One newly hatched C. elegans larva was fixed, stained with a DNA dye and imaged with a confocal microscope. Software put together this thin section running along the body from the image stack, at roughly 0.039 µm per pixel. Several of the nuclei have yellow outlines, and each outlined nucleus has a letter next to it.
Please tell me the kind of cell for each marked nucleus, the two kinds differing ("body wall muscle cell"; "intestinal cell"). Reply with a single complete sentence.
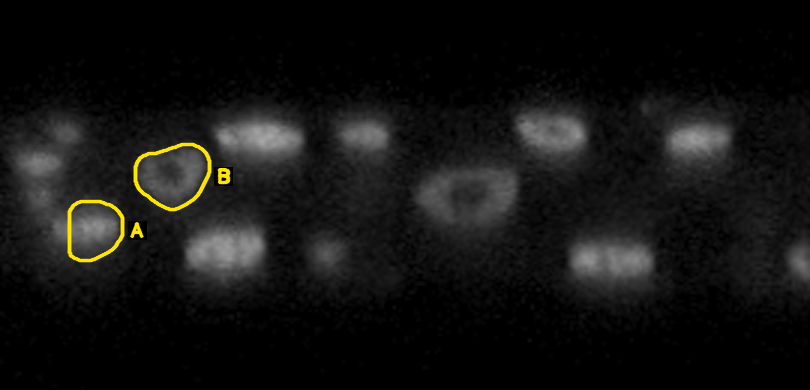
A belongs to a body wall muscle cell and B to an intestinal cell.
